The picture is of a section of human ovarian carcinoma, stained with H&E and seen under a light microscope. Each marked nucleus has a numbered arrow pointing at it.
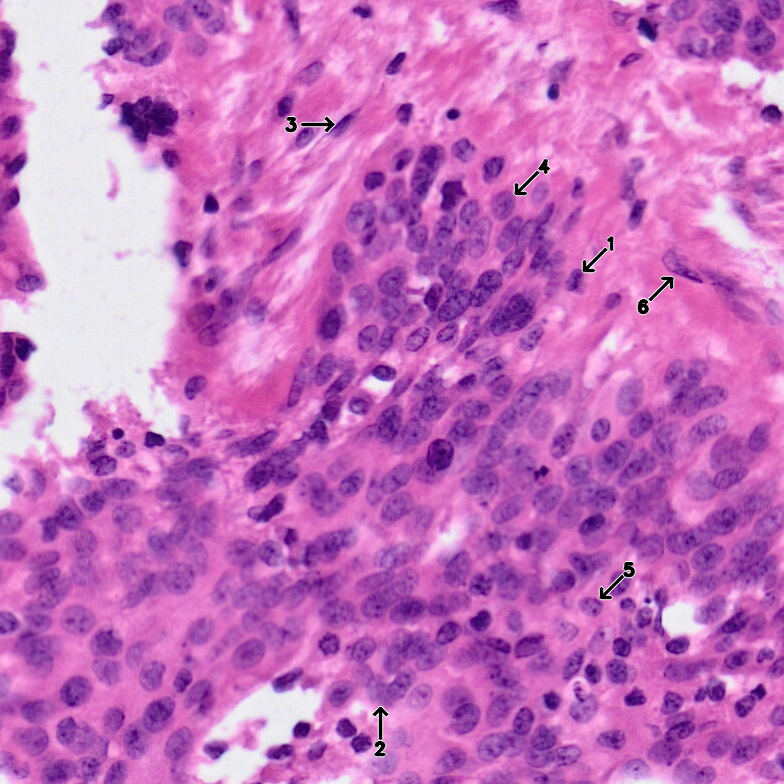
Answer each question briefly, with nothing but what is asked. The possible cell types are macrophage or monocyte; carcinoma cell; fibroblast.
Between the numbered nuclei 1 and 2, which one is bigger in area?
2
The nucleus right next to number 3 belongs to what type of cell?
fibroblast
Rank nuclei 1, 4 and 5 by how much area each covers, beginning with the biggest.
4, 5, 1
